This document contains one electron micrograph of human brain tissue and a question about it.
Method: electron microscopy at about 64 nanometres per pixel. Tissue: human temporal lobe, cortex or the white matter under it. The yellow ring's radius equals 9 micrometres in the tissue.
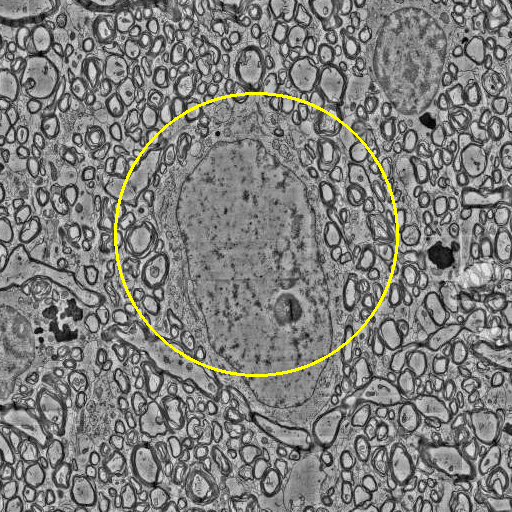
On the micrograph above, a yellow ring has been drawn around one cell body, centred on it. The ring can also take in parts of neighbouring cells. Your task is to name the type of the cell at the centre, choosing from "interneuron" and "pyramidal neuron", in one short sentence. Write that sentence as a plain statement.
Here the ring is centred on a pyramidal neuron.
